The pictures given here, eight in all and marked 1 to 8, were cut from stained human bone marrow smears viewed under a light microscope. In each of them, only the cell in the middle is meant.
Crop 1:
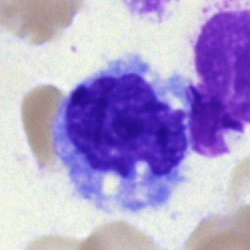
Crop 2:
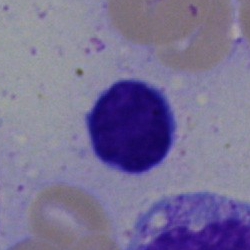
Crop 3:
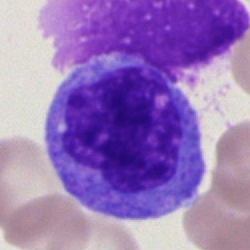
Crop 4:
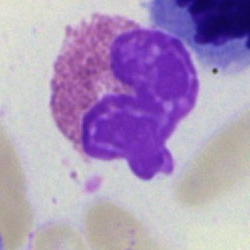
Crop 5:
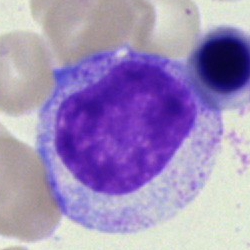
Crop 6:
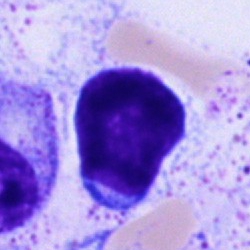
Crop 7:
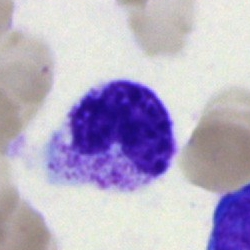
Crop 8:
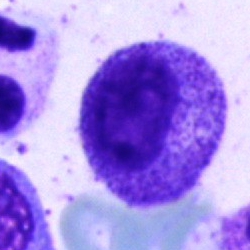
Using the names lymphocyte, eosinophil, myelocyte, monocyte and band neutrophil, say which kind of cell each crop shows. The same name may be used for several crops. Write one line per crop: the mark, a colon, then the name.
1: monocyte
2: lymphocyte
3: monocyte
4: eosinophil
5: myelocyte
6: lymphocyte
7: band neutrophil
8: myelocyte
